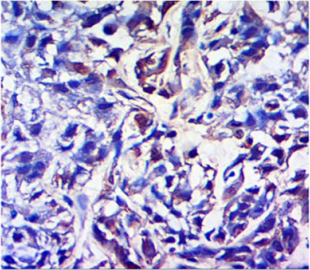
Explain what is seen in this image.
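Densely packed tumor cells with elongated and ovoid blue nuclei and faintly brownish cytoplasm fill the field, interrupted by small pale spaces. Only a few nuclei look brown.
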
